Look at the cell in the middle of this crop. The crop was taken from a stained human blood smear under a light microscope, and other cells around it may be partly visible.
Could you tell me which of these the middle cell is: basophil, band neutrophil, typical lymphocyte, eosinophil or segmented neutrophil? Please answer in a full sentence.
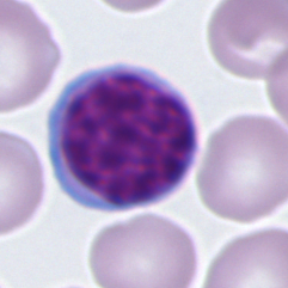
This crop's central cell is a typical lymphocyte.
